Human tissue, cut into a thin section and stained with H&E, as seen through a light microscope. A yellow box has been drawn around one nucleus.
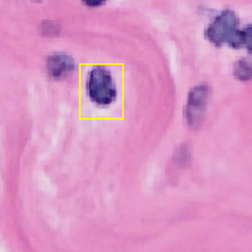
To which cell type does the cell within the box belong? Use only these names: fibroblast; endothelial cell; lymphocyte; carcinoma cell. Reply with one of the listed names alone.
lymphocyte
